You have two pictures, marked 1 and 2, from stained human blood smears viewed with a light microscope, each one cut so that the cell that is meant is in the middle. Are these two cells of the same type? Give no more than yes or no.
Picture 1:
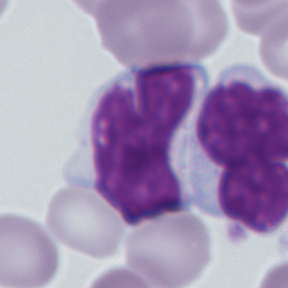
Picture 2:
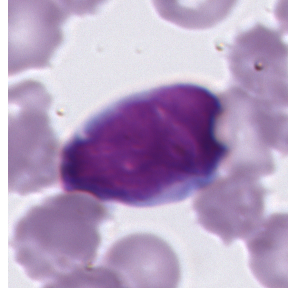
no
